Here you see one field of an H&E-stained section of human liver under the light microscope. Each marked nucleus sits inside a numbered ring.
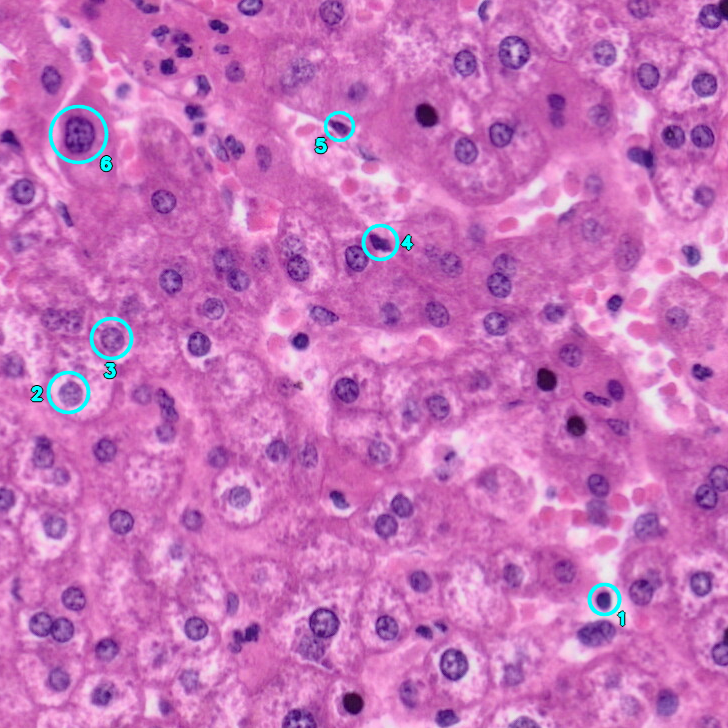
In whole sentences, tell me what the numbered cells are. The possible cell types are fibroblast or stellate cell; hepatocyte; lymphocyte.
Cell 1 is a lymphocyte, cell 2 is a hepatocyte, cell 3 is a hepatocyte, cell 4 is a fibroblast or stellate cell, cell 5 is a fibroblast or stellate cell and cell 6 is a hepatocyte.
